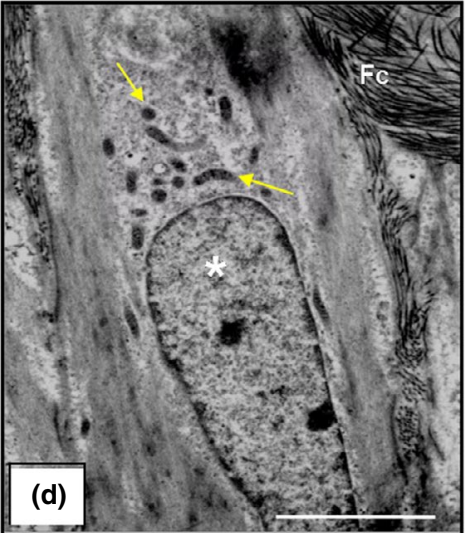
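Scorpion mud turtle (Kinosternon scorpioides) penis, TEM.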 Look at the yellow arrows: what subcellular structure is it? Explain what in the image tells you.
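Small dense oval and elongated bodies lie in the cytoplasm above the nucleus. The arrows point to these dense bodies, not to the nucleus.
Hence: cytoplasmic organelles.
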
